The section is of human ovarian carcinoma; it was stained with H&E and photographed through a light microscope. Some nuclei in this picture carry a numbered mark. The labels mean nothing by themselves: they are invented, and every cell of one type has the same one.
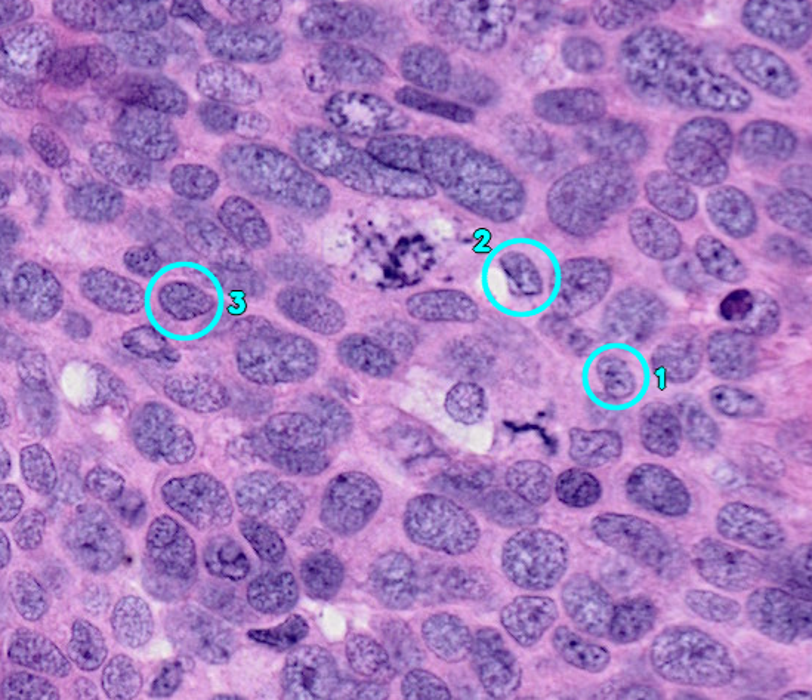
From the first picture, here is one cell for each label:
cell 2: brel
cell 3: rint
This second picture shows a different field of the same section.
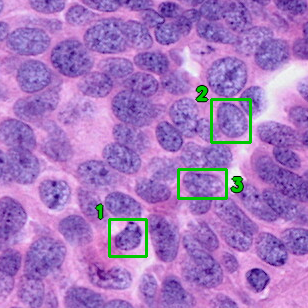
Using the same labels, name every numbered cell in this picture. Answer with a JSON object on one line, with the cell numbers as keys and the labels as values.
{"1": "brel", "2": "rint", "3": "rint"}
